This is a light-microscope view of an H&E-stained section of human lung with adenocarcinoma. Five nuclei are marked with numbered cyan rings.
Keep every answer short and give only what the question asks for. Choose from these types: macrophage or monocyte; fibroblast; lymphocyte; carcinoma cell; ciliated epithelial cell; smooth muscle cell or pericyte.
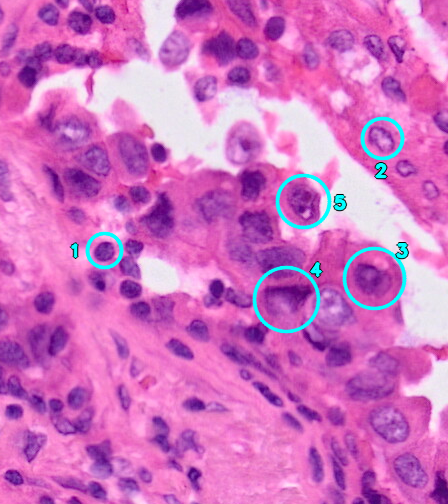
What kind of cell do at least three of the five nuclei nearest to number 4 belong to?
carcinoma cell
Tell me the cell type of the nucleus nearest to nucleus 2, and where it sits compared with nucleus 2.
a macrophage or monocyte below and to the right of nucleus 2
